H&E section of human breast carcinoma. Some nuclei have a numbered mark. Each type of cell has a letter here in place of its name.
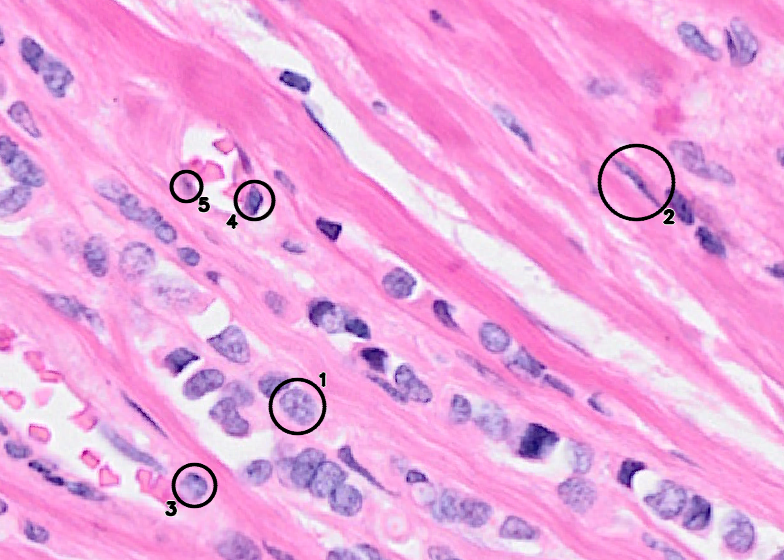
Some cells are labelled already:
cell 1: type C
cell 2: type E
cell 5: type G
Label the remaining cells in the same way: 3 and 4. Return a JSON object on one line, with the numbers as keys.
{"3": "type G", "4": "type G"}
